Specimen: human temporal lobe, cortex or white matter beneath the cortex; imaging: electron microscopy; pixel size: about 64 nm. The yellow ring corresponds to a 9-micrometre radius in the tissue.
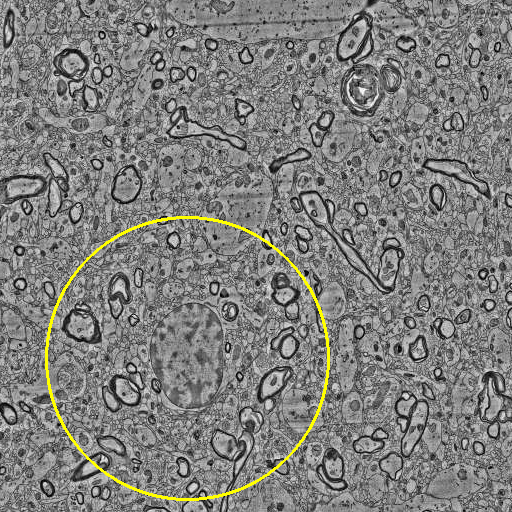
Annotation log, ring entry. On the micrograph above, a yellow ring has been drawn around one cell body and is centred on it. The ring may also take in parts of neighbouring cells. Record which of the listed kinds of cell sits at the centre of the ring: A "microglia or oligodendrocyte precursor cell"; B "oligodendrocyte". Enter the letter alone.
A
